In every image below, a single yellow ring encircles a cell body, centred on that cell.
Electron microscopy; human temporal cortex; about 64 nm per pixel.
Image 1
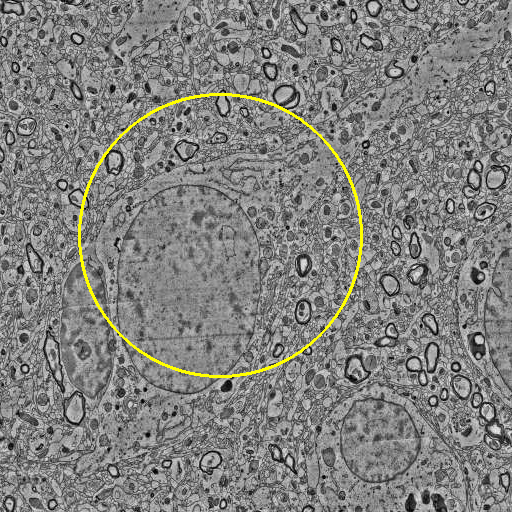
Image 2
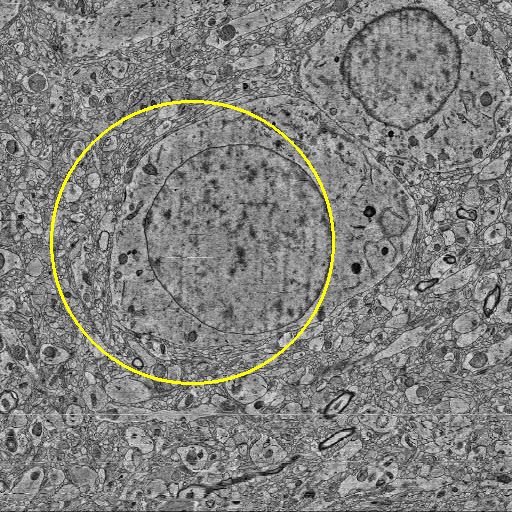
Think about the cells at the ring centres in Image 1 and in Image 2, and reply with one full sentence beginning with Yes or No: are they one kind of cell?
Yes, the cells centred in the rings of Image 1 and Image 2 are one kind of cell.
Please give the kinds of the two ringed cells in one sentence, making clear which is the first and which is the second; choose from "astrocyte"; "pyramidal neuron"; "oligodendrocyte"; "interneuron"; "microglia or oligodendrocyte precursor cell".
The cell in the first picture is a pyramidal neuron, and so is the one in the second.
